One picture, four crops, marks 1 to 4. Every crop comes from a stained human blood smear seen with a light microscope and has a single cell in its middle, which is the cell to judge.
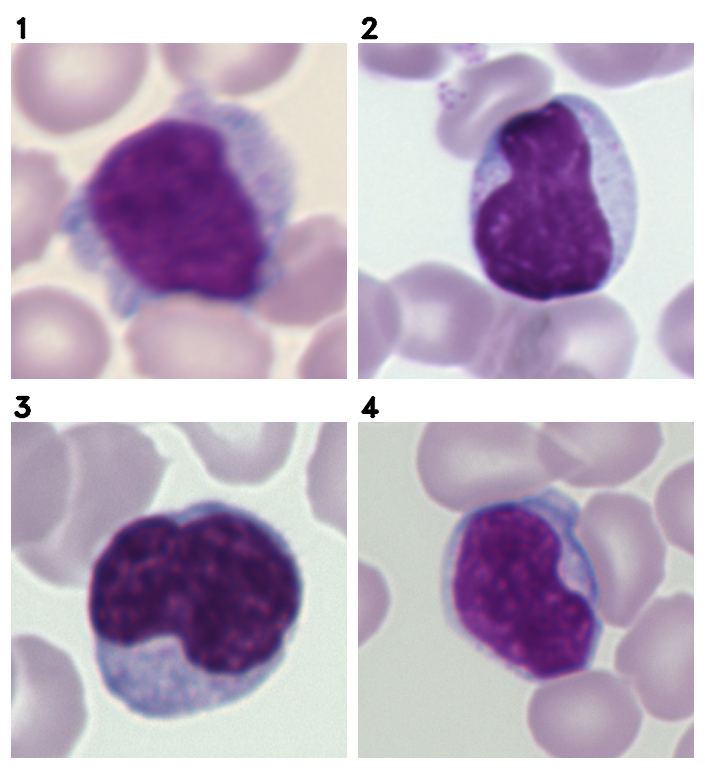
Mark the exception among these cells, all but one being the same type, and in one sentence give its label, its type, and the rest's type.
Among the crops, crop 2 is unique in showing a large granular lymphocyte; the others show typical lymphocytes.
